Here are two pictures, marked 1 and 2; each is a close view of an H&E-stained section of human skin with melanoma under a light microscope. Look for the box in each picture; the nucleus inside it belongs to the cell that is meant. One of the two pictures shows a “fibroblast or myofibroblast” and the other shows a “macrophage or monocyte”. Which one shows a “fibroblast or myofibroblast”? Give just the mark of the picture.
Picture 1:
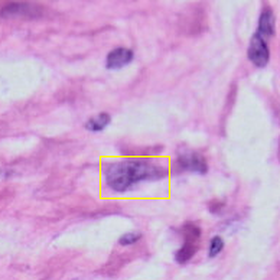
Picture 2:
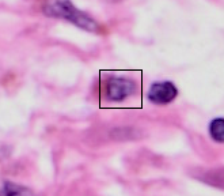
1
